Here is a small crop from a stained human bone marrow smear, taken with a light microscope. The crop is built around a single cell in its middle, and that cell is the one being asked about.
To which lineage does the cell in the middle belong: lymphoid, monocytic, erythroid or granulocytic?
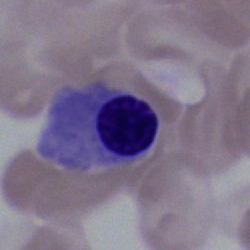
erythroid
